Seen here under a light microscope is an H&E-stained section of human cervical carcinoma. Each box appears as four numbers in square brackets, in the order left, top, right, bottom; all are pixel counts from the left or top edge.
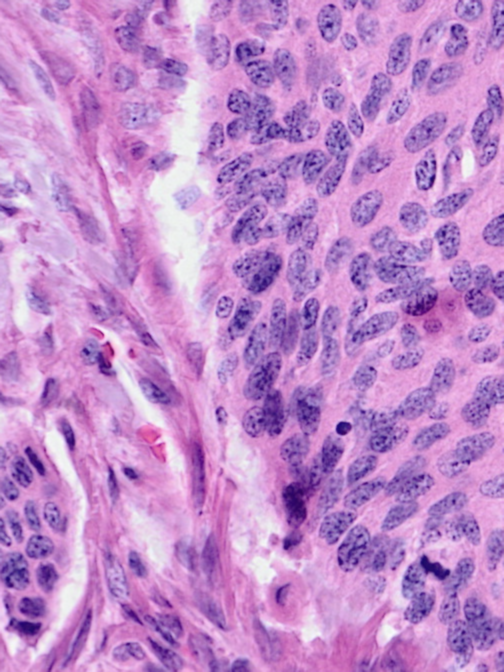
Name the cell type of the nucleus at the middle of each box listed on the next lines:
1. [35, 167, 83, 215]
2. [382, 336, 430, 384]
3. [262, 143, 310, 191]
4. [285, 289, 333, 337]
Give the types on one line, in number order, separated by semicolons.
fibroblast; squamous carcinoma cell; squamous carcinoma cell; squamous carcinoma cell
